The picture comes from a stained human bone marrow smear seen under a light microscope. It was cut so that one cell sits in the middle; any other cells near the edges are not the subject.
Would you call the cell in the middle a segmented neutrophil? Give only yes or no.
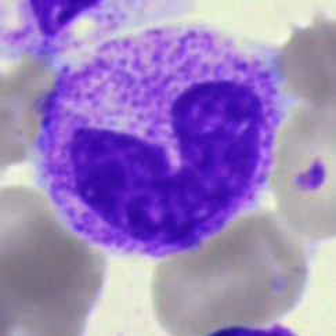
no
